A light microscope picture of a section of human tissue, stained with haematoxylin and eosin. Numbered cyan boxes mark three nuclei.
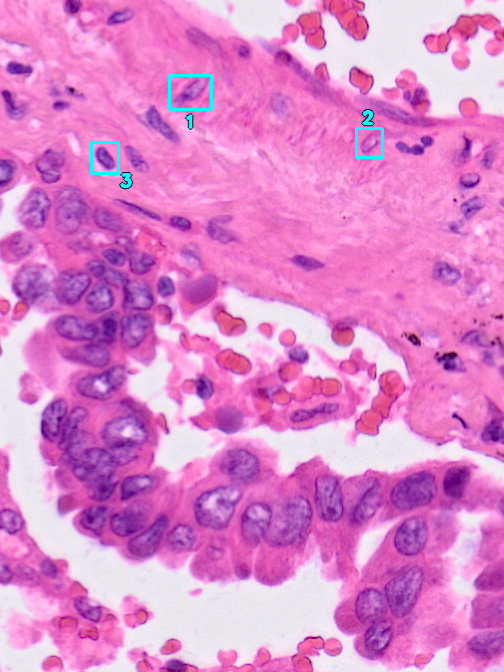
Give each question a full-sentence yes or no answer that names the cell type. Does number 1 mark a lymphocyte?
No, the cell marked 1 is a smooth muscle cell or pericyte rather than a lymphocyte.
